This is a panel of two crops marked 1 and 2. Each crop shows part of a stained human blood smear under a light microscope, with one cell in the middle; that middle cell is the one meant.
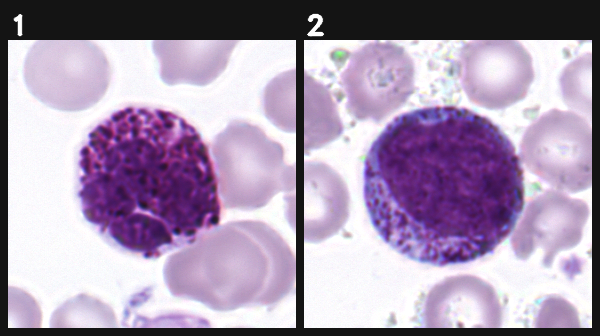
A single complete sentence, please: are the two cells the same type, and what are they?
No, crop 1 carries a basophil at its centre, and crop 2 carries a promyelocyte.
